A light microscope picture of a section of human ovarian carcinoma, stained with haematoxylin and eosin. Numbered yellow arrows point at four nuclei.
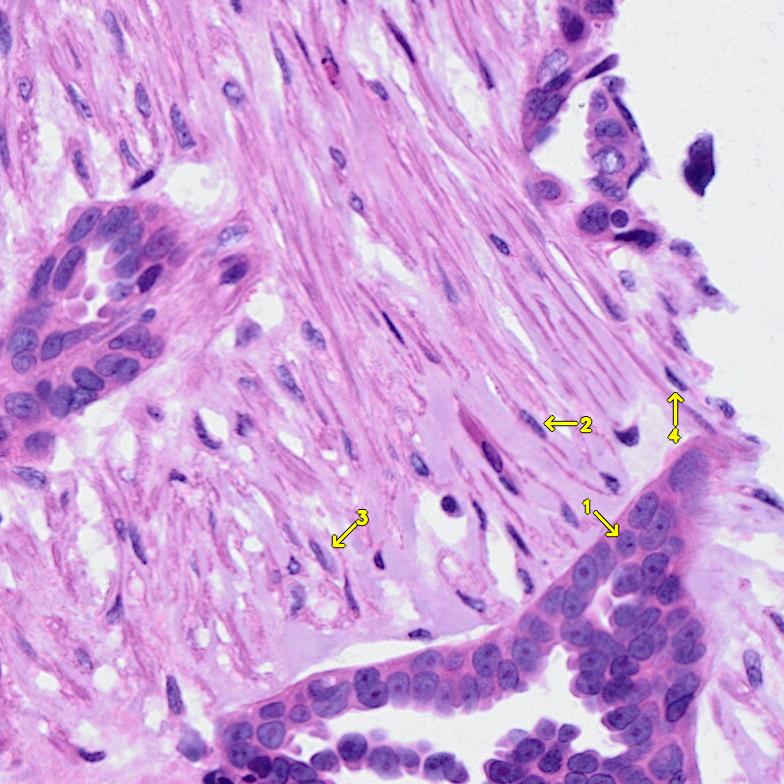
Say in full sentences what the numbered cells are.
Cell 1 is a carcinoma cell, cell 2 is a fibroblast, cell 3 is a fibroblast and cell 4 is a fibroblast.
